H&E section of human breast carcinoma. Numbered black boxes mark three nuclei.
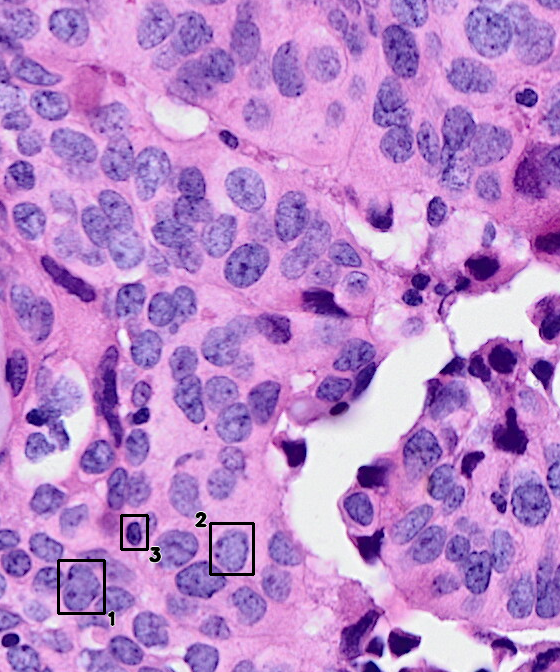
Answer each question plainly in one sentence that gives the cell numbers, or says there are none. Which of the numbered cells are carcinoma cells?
When it comes to cells 1 and 2, they are carcinoma cells.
